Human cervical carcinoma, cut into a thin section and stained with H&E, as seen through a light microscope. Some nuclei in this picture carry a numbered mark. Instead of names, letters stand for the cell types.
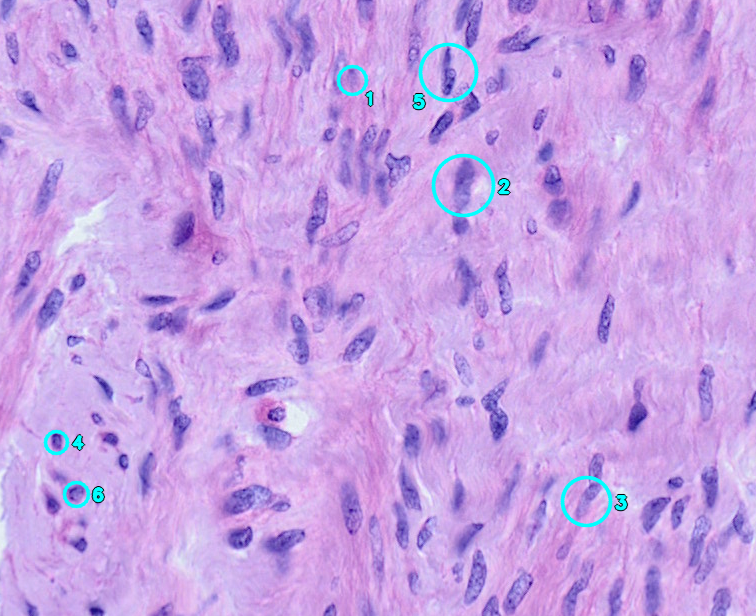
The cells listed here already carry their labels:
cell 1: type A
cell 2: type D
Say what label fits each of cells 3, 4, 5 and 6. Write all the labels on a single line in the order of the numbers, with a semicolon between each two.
type A; type A; type D; type A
